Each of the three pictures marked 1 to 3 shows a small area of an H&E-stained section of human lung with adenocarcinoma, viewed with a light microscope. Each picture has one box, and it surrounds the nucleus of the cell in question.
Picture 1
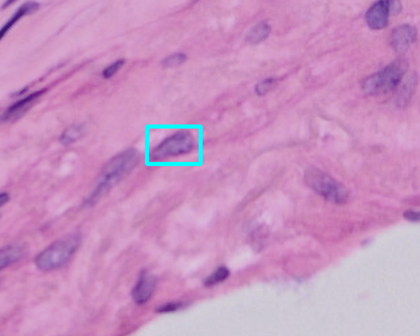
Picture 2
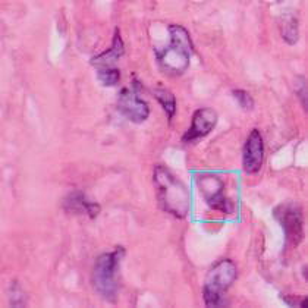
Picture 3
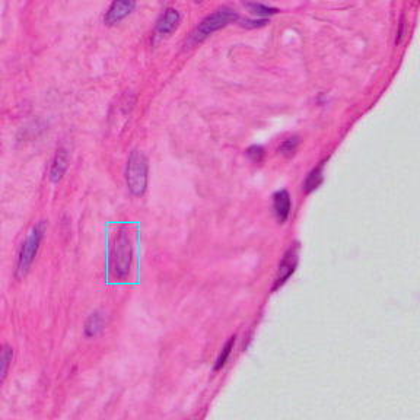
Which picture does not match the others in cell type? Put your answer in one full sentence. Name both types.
The others show “smooth muscle cells or pericytes”, but picture 2 shows an endothelial cell.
